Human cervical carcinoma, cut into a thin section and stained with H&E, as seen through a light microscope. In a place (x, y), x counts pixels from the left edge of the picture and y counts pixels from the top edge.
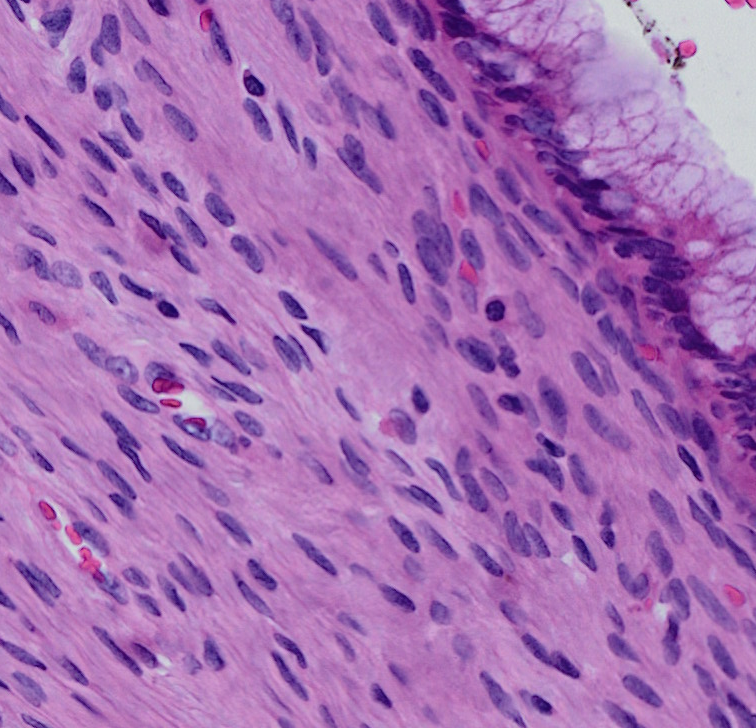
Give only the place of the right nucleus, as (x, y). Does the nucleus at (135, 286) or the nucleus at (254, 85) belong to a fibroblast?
(135, 286)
